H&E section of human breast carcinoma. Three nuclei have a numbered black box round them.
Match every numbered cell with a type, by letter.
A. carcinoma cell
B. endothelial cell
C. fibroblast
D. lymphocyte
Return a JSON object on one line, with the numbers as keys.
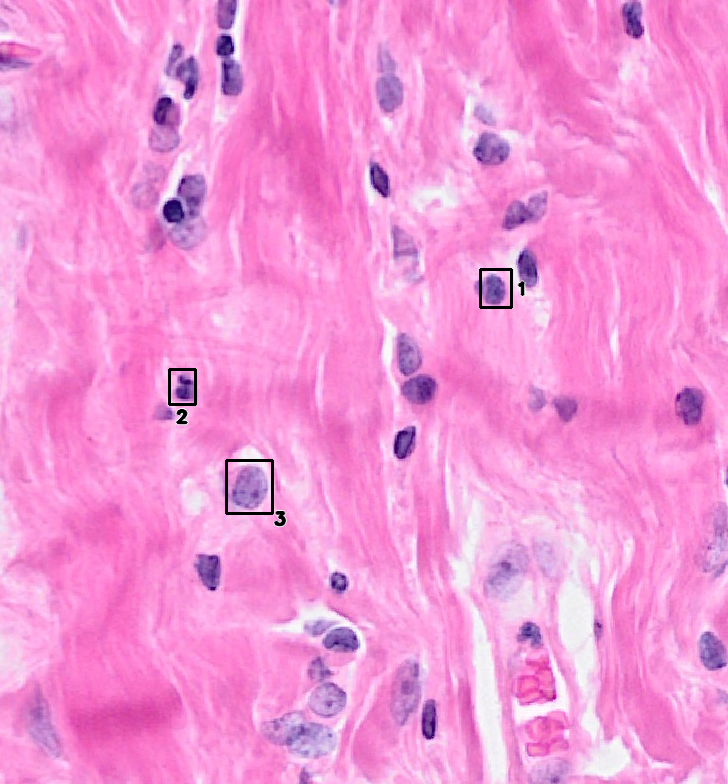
{"1": "D", "2": "D", "3": "C"}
